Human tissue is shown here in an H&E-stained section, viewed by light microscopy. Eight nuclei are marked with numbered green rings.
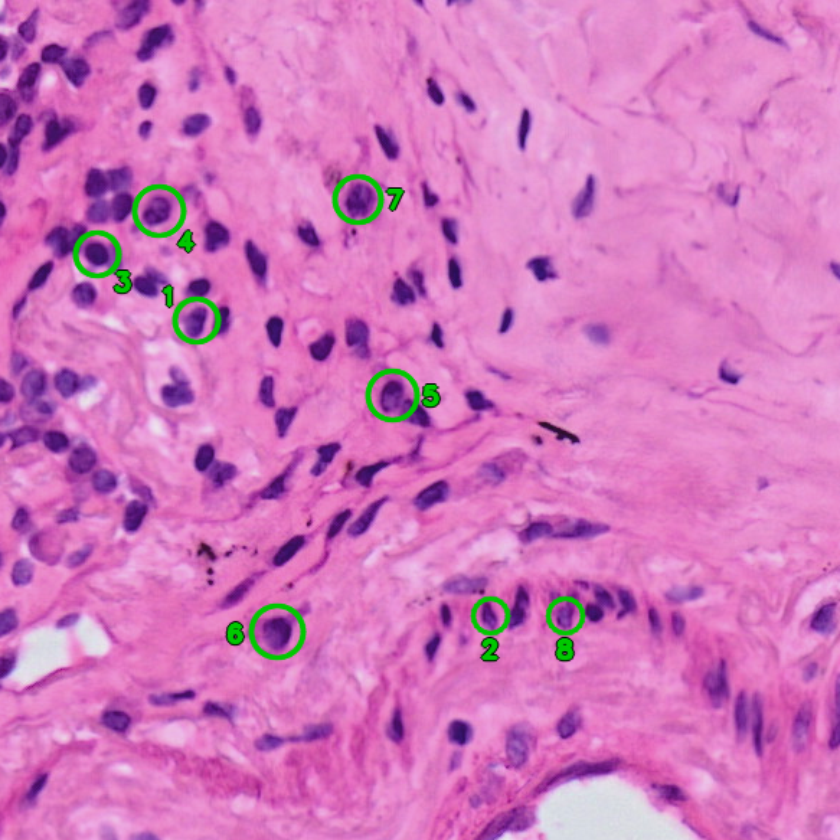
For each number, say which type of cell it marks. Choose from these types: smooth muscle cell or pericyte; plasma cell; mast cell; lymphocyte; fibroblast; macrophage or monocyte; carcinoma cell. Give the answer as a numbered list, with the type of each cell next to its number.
1. lymphocyte
2. smooth muscle cell or pericyte
3. lymphocyte
4. plasma cell
5. plasma cell
6. plasma cell
7. plasma cell
8. smooth muscle cell or pericyte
